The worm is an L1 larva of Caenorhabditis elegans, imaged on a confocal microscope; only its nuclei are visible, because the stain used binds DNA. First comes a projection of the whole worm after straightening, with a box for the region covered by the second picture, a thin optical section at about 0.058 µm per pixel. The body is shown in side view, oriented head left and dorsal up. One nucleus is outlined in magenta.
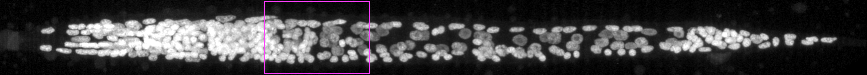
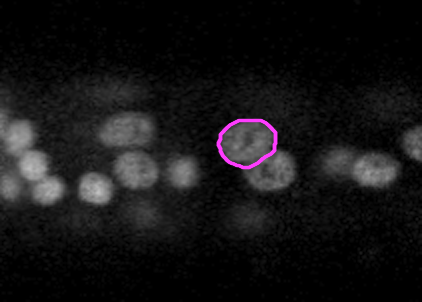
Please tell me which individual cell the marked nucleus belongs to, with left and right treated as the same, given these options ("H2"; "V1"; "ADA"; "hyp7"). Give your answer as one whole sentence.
The marked nucleus is that of hyp7, a hypodermal cell (hyp).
